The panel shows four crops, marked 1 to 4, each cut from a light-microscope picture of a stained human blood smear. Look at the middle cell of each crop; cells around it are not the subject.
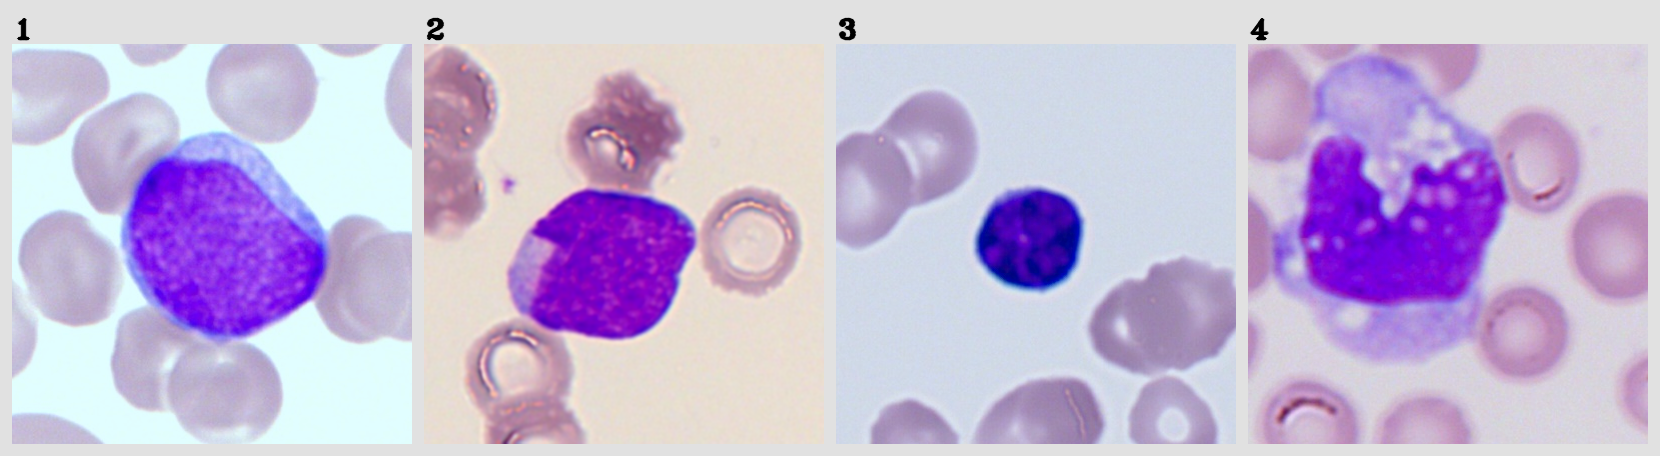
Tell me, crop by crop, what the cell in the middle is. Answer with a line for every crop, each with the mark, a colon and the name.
1: myeloblast
2: myeloblast
3: lymphocyte
4: monocyte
